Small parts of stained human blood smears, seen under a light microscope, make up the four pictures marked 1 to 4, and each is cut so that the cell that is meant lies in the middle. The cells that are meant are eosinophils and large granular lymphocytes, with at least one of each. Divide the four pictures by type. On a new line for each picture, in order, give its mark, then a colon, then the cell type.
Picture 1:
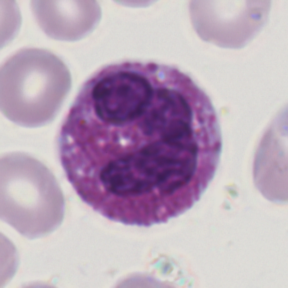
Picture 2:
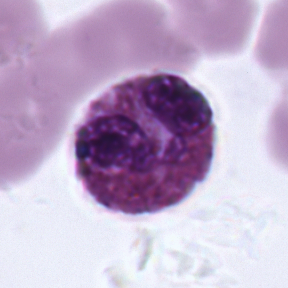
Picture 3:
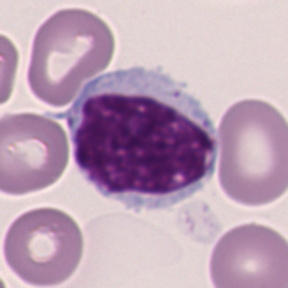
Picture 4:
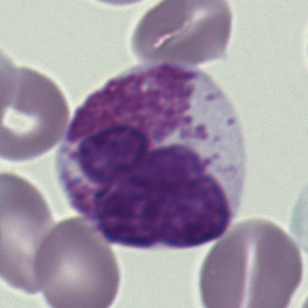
1: eosinophil
2: eosinophil
3: large granular lymphocyte
4: eosinophil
